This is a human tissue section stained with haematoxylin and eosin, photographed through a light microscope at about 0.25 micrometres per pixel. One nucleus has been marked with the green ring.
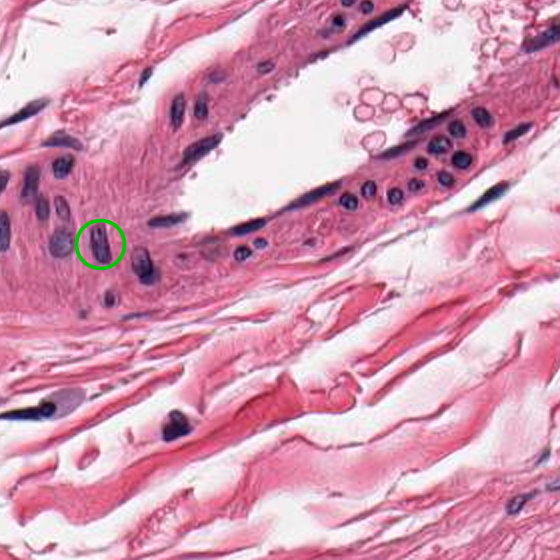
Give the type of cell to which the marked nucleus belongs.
smooth muscle cell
